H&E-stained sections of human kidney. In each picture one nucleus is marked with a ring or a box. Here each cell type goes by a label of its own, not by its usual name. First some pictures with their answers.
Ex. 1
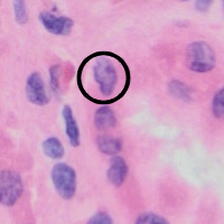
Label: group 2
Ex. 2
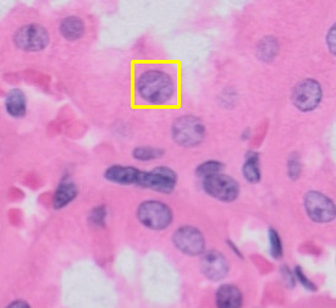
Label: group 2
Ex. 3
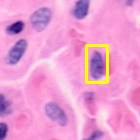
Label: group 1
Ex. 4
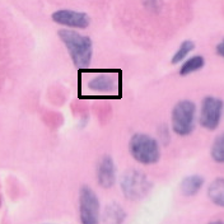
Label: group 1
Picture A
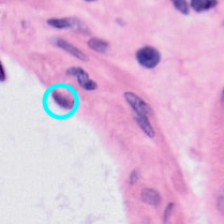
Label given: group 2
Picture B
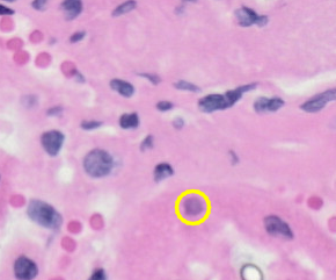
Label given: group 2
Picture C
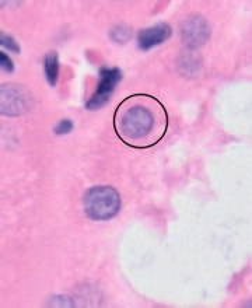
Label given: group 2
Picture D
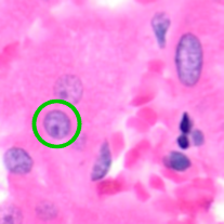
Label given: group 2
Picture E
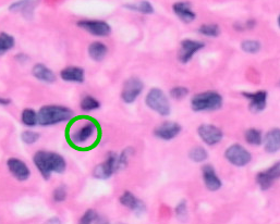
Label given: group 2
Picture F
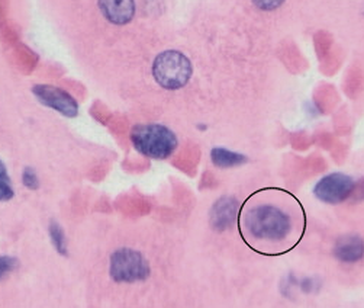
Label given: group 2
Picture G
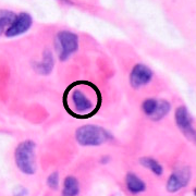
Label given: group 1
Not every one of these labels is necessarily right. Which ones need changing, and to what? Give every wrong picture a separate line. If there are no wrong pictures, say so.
Wrong: A (group 2); correct: group 1
Wrong: E (group 2); correct: group 1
